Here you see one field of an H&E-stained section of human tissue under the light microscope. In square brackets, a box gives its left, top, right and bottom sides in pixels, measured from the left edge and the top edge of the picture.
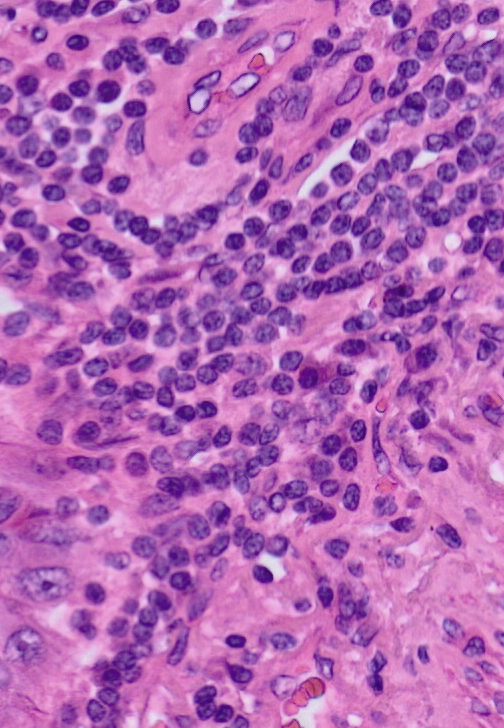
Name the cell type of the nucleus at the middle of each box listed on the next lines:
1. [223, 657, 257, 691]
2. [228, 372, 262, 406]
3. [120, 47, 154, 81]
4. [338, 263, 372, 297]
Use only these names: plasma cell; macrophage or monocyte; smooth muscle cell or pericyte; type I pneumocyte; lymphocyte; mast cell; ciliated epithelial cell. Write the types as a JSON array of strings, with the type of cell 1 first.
["plasma cell", "lymphocyte", "lymphocyte", "lymphocyte"]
